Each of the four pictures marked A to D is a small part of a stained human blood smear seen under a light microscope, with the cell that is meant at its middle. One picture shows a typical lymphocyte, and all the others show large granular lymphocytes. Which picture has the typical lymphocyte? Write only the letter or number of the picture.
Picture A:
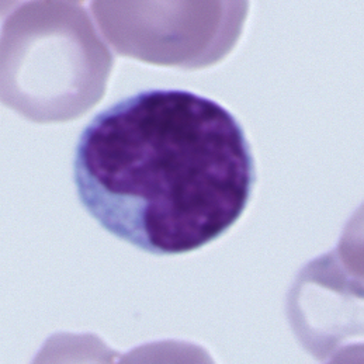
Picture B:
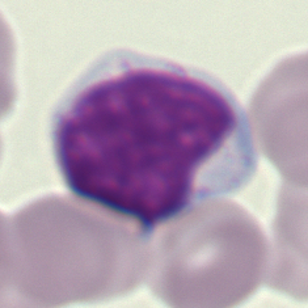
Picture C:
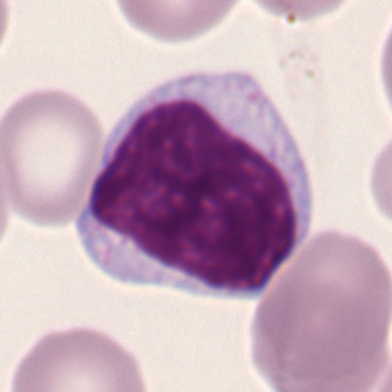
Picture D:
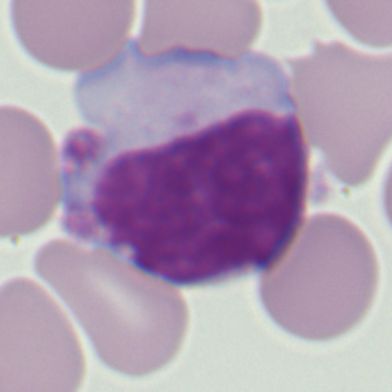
A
